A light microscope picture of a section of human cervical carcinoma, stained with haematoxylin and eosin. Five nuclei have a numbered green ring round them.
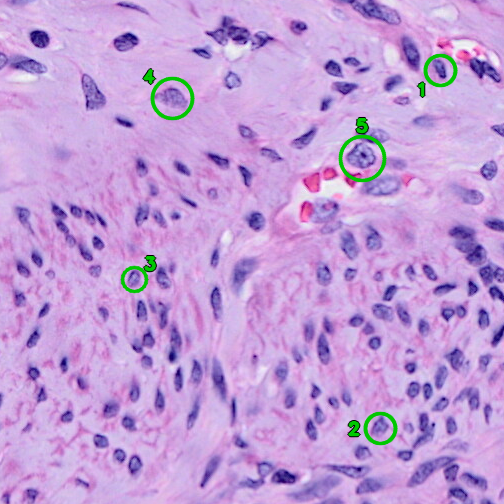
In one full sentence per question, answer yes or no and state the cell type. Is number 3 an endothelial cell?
No, the cell given the number 3 is a smooth muscle cell, so not an endothelial cell.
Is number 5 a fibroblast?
No, number 5 does not mark a fibroblast; it marks an endothelial cell.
